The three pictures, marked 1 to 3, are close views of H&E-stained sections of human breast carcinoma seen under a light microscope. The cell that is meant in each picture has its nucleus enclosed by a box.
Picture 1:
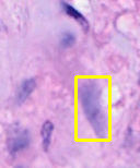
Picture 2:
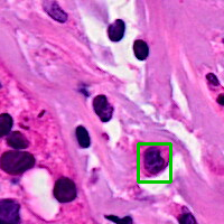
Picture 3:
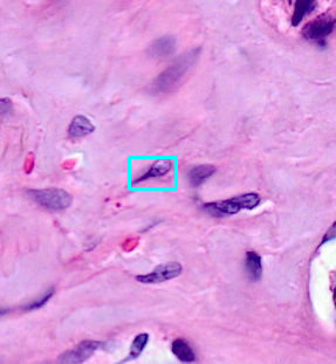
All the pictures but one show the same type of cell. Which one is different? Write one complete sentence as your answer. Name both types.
Picture 2 differs, because its cell is a mast cell and the rest are fibroblasts.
